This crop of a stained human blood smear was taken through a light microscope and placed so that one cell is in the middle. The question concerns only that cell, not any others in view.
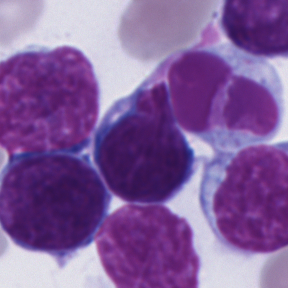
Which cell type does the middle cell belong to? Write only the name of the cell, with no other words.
myeloblast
